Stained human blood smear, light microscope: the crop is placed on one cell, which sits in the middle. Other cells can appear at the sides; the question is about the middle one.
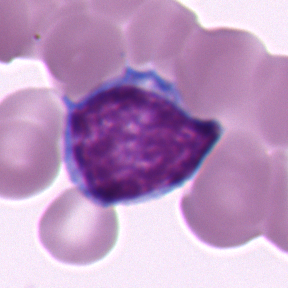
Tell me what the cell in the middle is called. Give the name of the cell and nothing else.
lymphocyte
